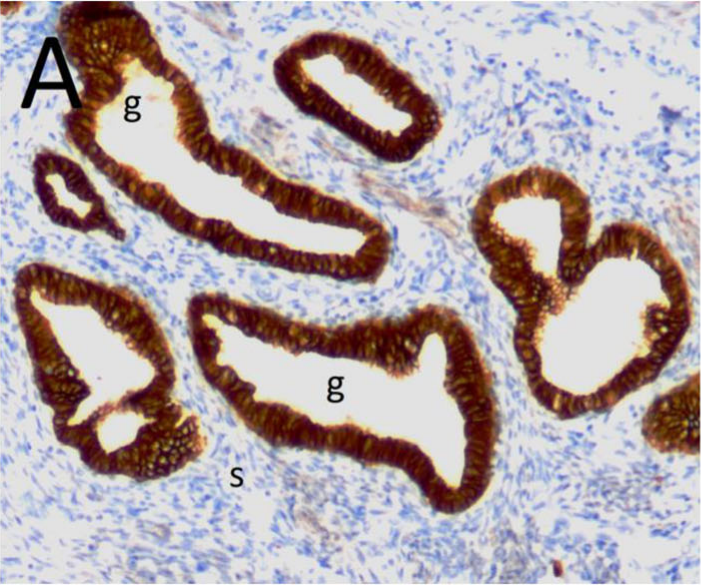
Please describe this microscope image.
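Endometrium with several glands set in stroma. Each gland is a tube with an open lumen lined by a single layer of tall columnar epithelial cells, crowded side by side, their whole cytoplasm and borders stained intensely dark brown. The glands vary in shape, some elongated, some lobed or folded. Between the glands lies a cellular stroma of small spindle-shaped cells with oval blue nuclei and little cytoplasm, unstained except for faint brown in a few thin vessel walls.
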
